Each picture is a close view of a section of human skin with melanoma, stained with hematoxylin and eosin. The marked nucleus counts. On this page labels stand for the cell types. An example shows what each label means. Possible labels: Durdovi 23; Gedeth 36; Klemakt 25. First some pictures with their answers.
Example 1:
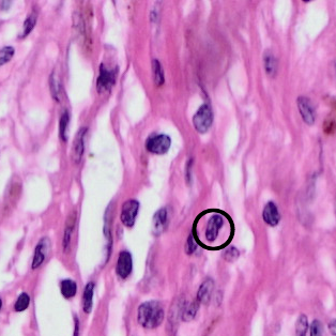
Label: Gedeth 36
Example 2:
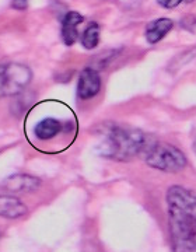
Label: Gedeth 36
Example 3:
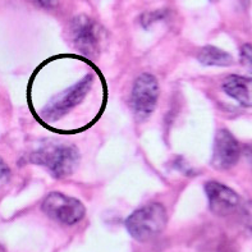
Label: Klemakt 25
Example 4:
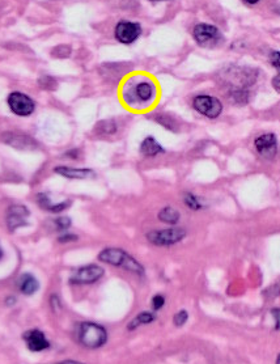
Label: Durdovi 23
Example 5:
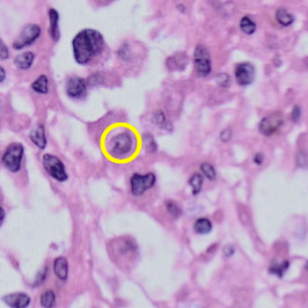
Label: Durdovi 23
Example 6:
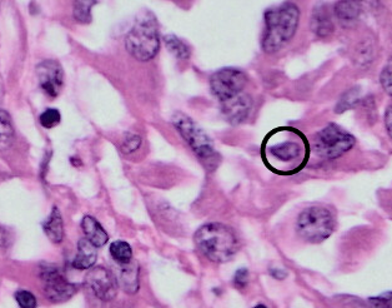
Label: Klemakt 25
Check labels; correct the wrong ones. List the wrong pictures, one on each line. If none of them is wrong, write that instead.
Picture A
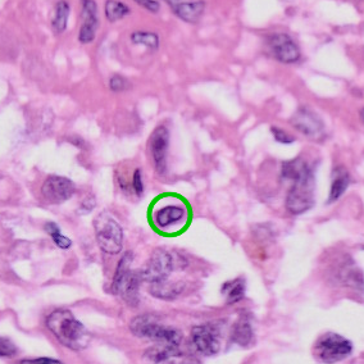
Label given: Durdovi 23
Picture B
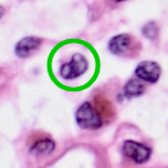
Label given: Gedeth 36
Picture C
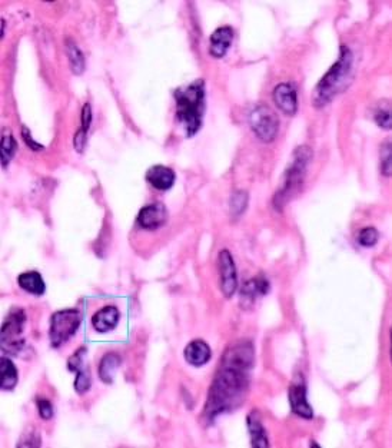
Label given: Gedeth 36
None of the labels needs changing.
